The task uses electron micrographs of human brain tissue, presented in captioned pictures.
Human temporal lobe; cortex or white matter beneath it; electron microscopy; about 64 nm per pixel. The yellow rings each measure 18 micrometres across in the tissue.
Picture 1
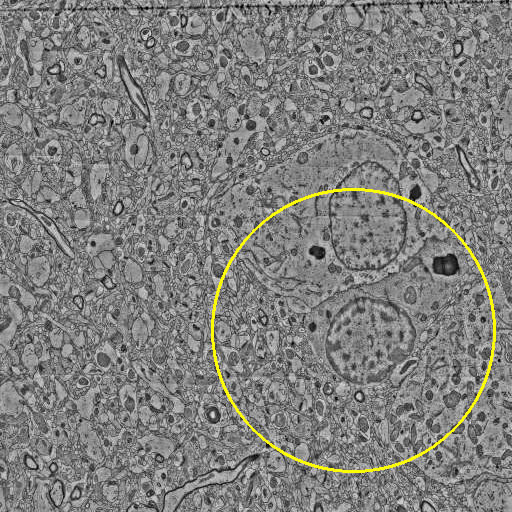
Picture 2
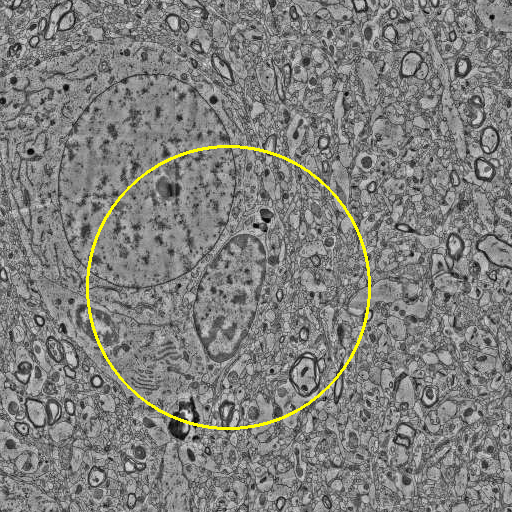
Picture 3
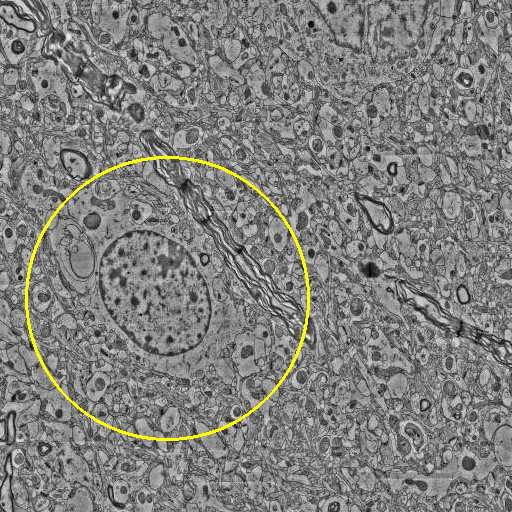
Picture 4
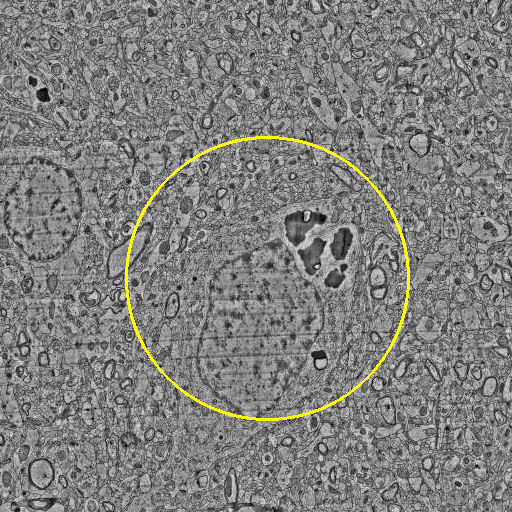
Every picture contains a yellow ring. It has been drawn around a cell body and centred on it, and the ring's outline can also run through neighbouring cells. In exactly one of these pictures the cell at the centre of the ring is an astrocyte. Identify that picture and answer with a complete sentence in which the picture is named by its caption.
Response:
The ring in Picture 3 is centred on that kind of cell.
